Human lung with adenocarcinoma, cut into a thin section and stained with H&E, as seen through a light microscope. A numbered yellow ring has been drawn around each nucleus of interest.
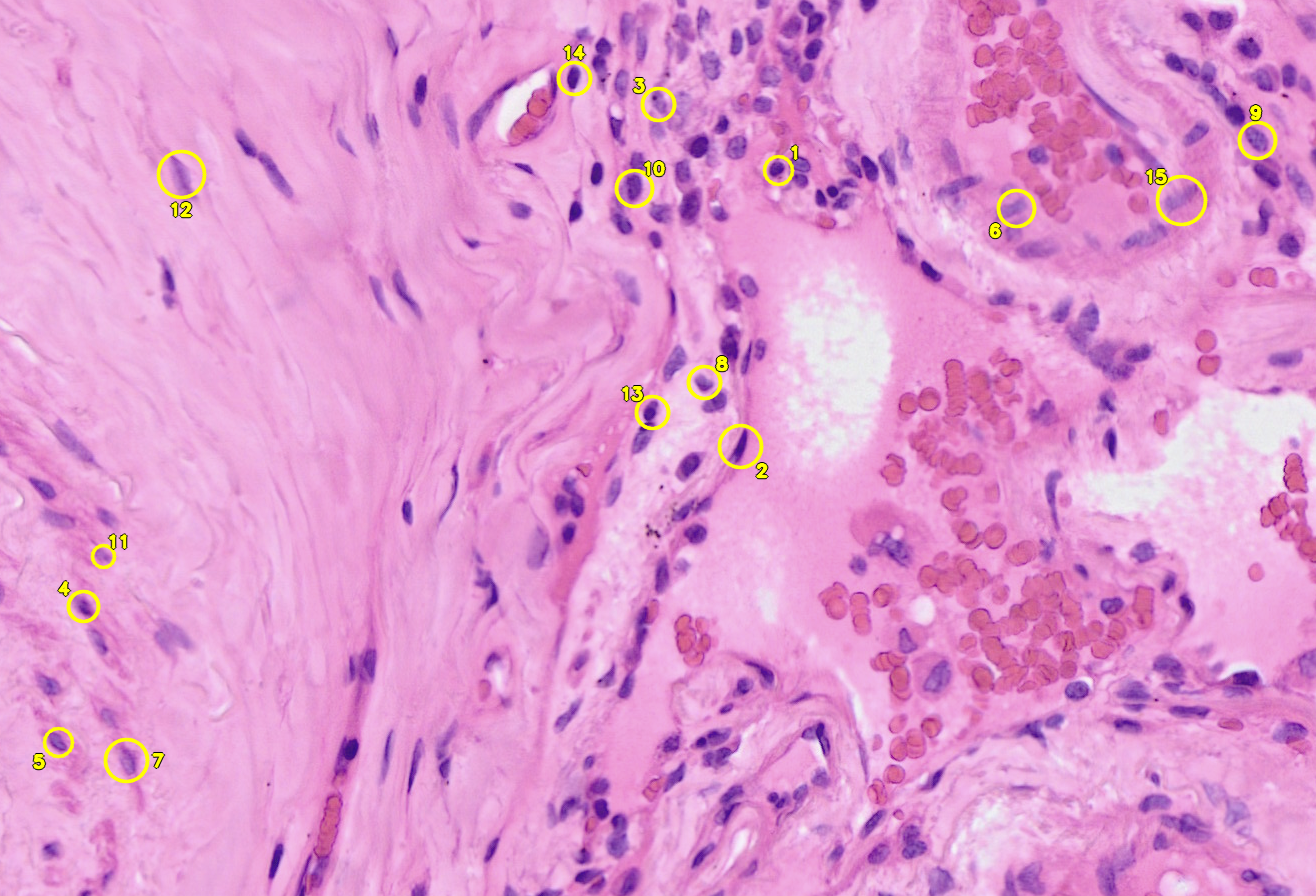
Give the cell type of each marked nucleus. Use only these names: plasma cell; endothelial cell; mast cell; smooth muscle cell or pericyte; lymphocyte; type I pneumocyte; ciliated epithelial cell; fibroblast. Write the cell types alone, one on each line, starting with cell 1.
lymphocyte
endothelial cell
plasma cell
smooth muscle cell or pericyte
smooth muscle cell or pericyte
smooth muscle cell or pericyte
smooth muscle cell or pericyte
lymphocyte
mast cell
lymphocyte
smooth muscle cell or pericyte
fibroblast
lymphocyte
lymphocyte
smooth muscle cell or pericyte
